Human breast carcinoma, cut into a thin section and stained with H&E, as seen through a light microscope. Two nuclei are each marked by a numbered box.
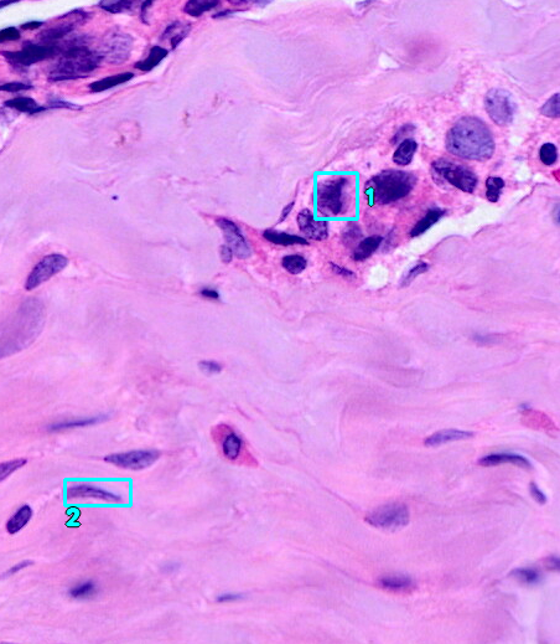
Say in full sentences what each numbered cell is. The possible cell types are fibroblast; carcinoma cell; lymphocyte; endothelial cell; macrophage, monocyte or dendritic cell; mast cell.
Cell 1 is a carcinoma cell. Cell 2 is a fibroblast.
